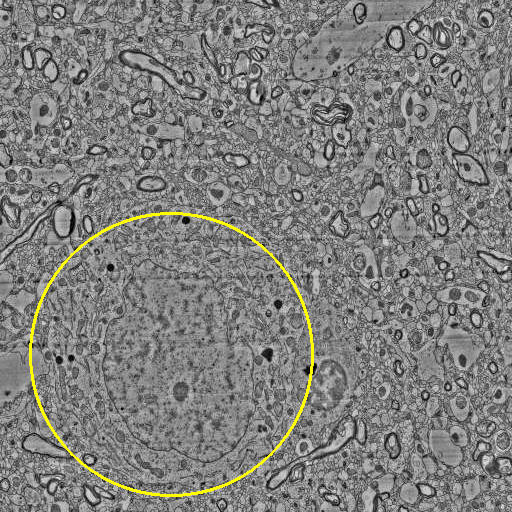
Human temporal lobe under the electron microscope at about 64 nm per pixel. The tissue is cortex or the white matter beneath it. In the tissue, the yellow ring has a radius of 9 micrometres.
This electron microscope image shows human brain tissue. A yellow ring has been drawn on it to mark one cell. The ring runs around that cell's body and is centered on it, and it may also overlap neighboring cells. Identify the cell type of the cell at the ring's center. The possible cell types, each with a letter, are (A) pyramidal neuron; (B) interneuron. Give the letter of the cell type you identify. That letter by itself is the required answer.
B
